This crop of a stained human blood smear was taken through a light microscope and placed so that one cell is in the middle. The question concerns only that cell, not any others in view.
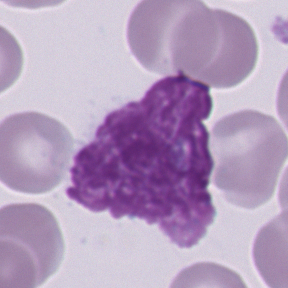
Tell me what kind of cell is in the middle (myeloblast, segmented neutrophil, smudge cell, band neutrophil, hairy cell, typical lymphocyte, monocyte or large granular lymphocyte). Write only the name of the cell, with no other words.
smudge cell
